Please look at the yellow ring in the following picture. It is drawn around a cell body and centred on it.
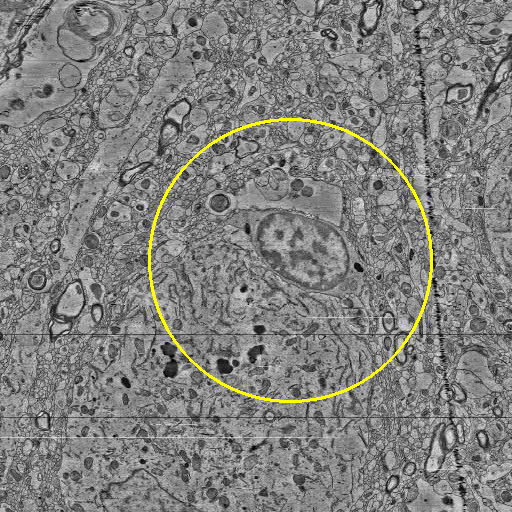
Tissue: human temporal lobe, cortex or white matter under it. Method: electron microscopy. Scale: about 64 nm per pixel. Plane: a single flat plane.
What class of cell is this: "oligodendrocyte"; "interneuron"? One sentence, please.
The ring surrounds the cell body of an oligodendrocyte.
